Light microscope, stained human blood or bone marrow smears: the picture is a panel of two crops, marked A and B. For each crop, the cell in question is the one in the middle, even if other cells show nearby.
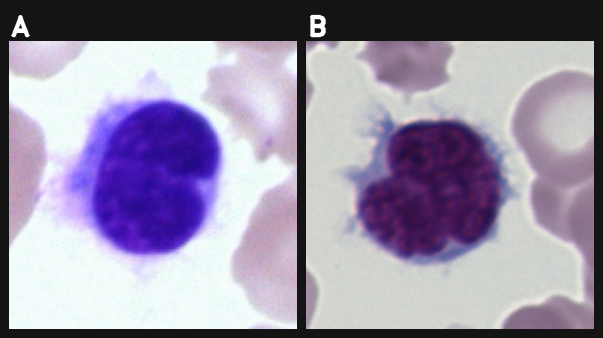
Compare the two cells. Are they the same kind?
yes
